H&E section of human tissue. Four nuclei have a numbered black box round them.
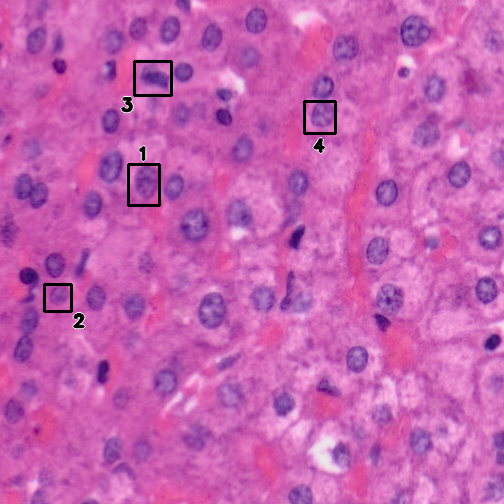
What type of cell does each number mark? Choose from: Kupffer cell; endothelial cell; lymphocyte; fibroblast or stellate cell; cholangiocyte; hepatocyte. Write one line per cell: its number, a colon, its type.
1: hepatocyte
2: hepatocyte
3: fibroblast or stellate cell
4: hepatocyte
